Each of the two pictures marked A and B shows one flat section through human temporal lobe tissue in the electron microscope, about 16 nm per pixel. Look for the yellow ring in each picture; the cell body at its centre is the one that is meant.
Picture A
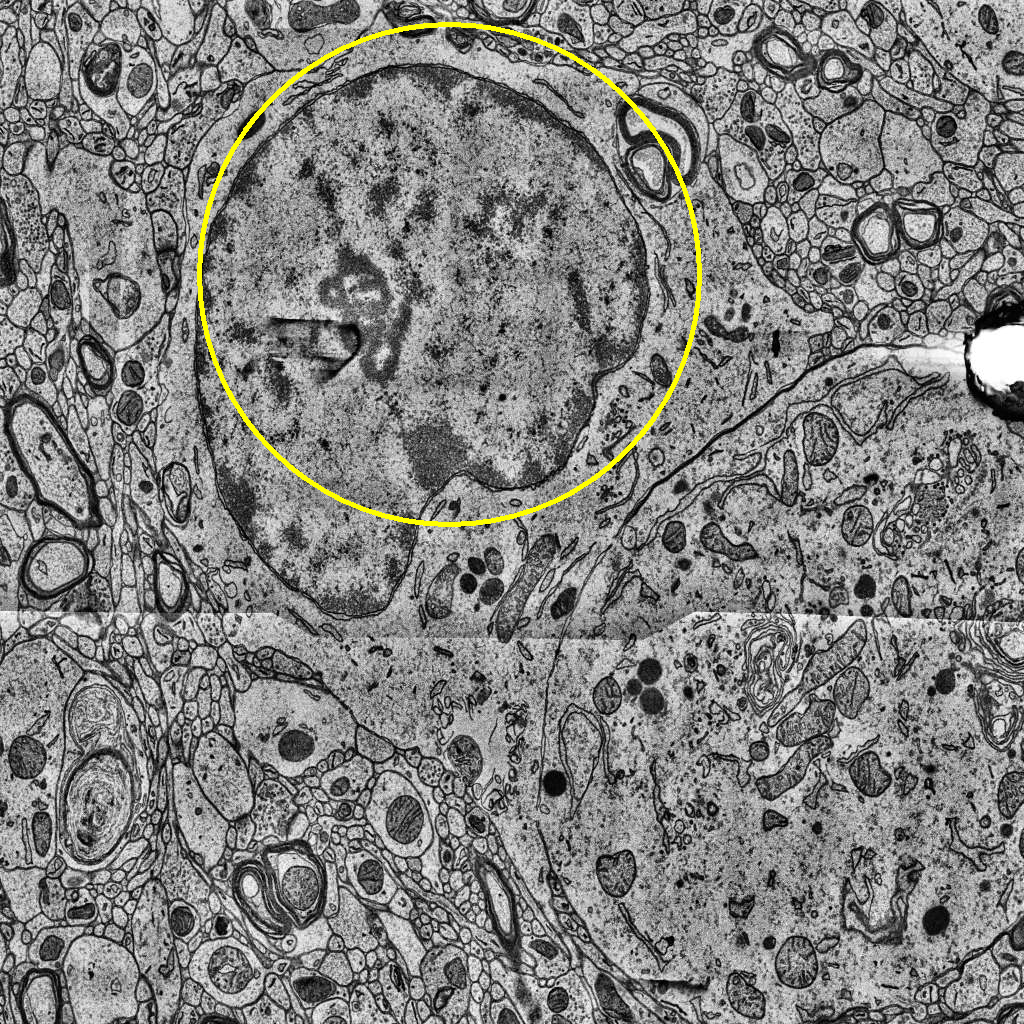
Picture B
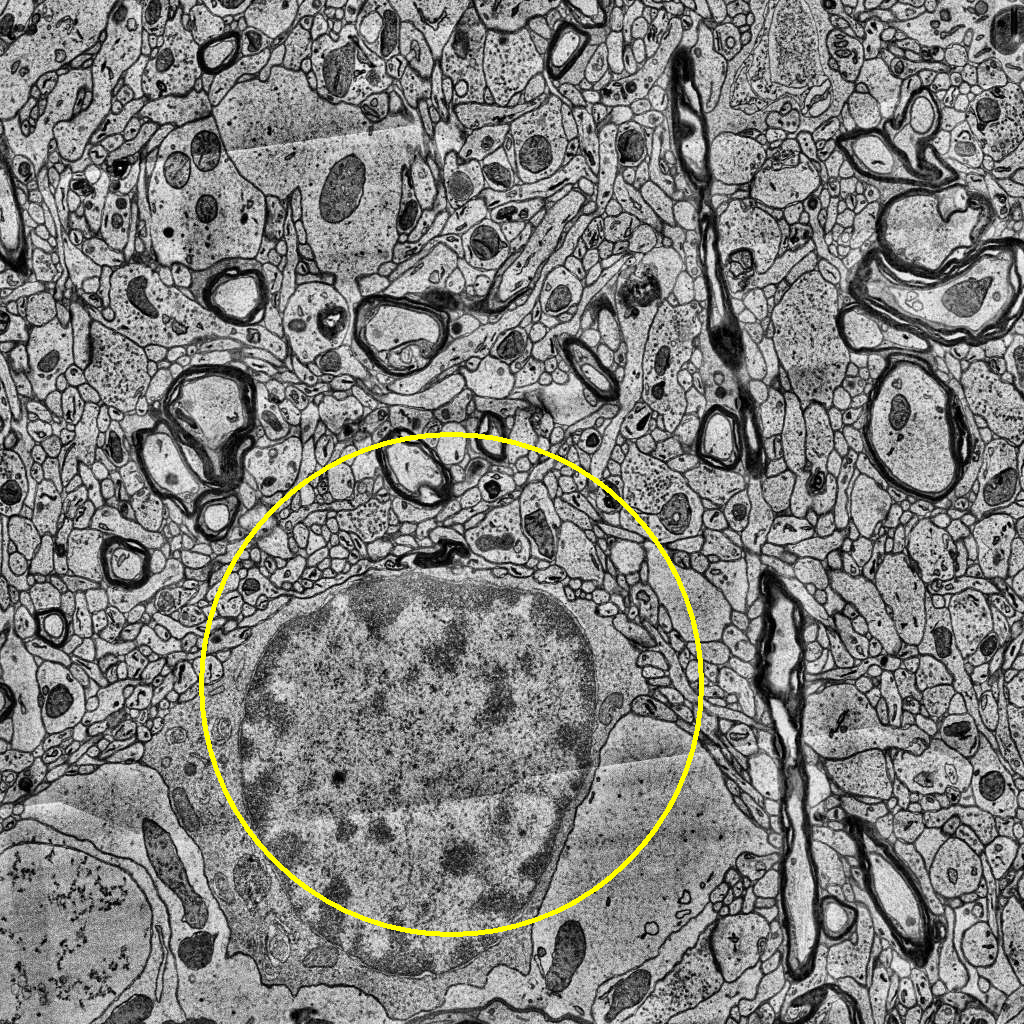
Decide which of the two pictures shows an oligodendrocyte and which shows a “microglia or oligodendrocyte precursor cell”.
Picture A shows a “microglia or oligodendrocyte precursor cell” and picture B shows an oligodendrocyte.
